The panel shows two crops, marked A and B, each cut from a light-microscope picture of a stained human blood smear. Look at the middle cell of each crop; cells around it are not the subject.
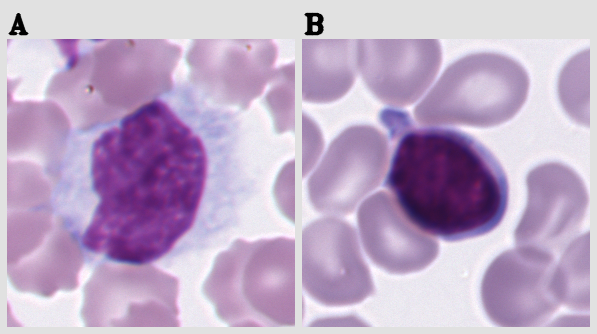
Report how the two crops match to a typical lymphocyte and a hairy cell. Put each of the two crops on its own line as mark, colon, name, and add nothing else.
A: hairy cell
B: typical lymphocyte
